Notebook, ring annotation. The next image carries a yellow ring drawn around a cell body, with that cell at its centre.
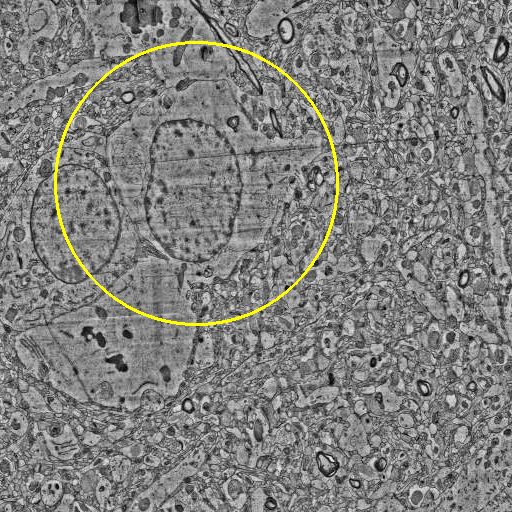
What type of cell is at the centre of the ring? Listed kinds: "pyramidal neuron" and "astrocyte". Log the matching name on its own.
astrocyte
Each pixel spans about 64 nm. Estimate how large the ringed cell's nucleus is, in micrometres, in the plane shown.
In this plane the nucleus spans approximately 9 by 7 micrometers.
